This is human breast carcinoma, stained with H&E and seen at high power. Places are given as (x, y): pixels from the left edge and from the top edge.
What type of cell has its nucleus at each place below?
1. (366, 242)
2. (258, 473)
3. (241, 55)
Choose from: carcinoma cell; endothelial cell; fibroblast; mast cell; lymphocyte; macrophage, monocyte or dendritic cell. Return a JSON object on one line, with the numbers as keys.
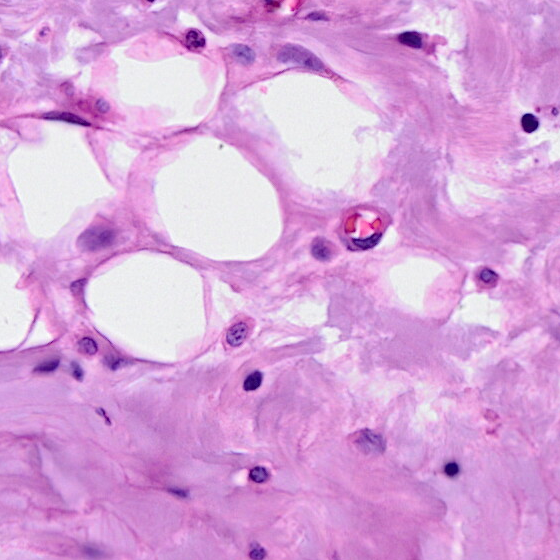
{"1": "endothelial cell", "2": "mast cell", "3": "fibroblast"}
